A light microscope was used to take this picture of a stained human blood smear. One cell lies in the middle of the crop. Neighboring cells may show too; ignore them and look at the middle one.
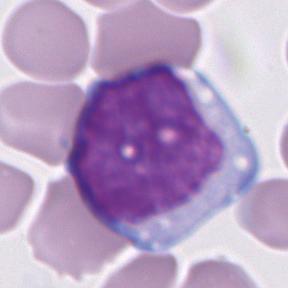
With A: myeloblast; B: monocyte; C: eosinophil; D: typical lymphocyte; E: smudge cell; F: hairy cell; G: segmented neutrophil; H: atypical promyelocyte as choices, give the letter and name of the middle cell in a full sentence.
Option A is to be chosen, as the central cell is a myeloblast.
